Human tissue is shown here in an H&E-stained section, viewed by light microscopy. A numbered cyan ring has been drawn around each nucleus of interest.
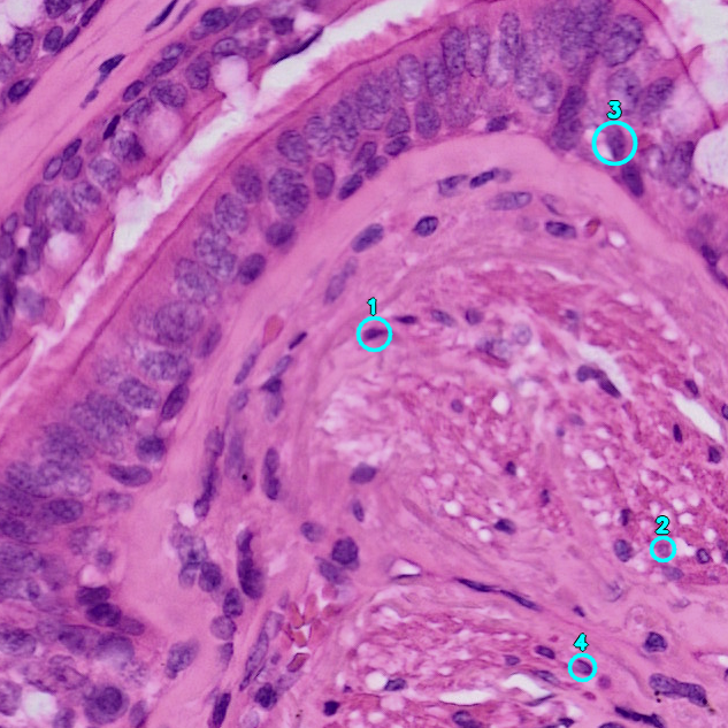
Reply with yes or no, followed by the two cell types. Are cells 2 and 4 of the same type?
Yes, both are smooth muscle cells or pericytes.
